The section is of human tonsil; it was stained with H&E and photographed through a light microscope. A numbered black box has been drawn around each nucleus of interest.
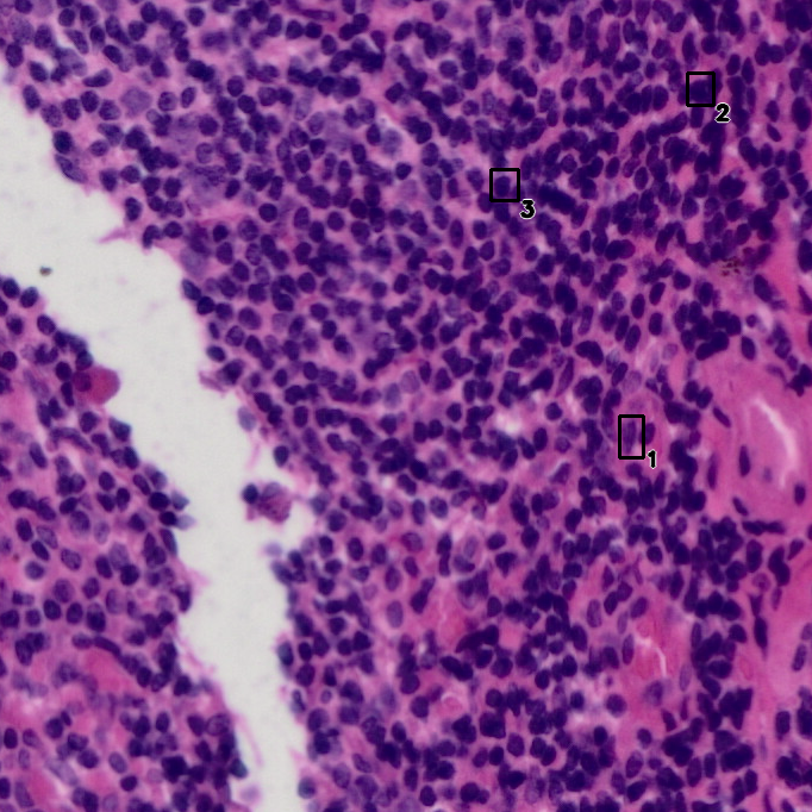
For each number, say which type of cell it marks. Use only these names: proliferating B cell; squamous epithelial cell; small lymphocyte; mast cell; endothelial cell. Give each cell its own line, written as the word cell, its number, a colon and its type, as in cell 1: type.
cell 1: endothelial cell
cell 2: small lymphocyte
cell 3: small lymphocyte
